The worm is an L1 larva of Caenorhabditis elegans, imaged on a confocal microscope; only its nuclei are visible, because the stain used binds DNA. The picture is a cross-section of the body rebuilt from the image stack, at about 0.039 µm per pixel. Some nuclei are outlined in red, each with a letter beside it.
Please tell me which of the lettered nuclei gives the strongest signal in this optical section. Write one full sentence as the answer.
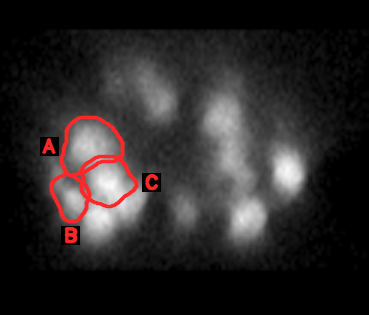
C is stained most strongly in this section.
